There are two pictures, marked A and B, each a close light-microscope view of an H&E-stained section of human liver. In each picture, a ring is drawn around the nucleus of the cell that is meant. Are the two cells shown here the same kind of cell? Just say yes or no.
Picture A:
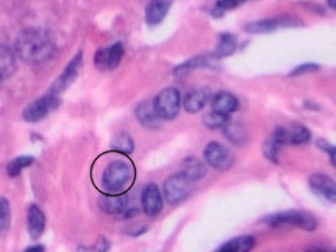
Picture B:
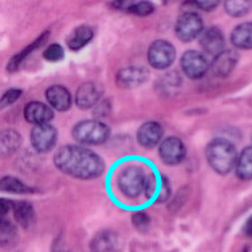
yes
